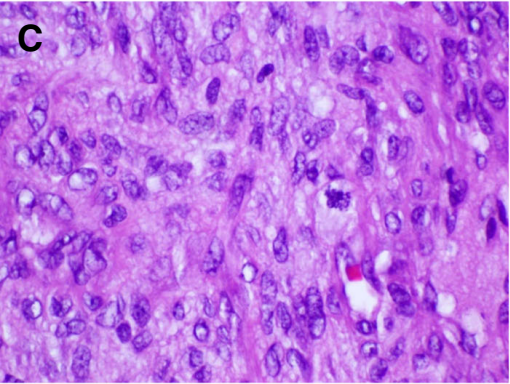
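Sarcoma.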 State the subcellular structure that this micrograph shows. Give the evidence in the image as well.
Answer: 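Nuclei have pale open chromatin with a distinct nuclear membrane. Nuclei vary in shape from oval to elongated.
Hence: vesicular nuclei.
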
